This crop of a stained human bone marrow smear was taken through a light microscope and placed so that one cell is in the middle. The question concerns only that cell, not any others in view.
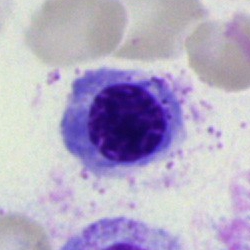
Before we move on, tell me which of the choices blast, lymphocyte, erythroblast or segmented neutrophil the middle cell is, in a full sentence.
In the centre of this crop there is an erythroblast.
